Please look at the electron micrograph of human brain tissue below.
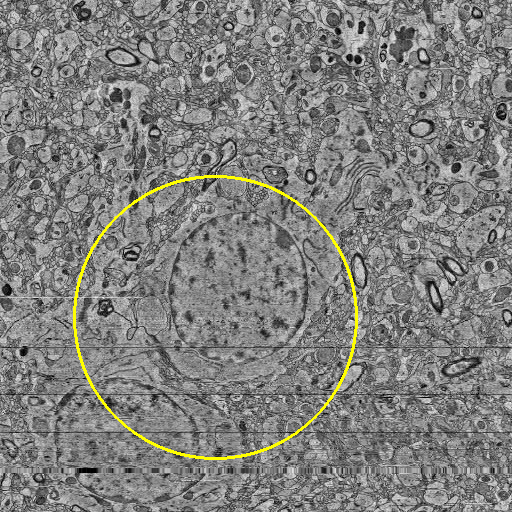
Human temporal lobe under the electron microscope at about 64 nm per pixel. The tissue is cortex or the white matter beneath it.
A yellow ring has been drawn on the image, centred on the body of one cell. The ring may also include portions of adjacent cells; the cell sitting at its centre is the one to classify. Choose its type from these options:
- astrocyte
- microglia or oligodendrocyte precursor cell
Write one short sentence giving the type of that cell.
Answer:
The cell in the middle of the ring is an astrocyte.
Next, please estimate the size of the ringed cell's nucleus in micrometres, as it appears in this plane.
Roughly 9 micrometres across, measured in this plane.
